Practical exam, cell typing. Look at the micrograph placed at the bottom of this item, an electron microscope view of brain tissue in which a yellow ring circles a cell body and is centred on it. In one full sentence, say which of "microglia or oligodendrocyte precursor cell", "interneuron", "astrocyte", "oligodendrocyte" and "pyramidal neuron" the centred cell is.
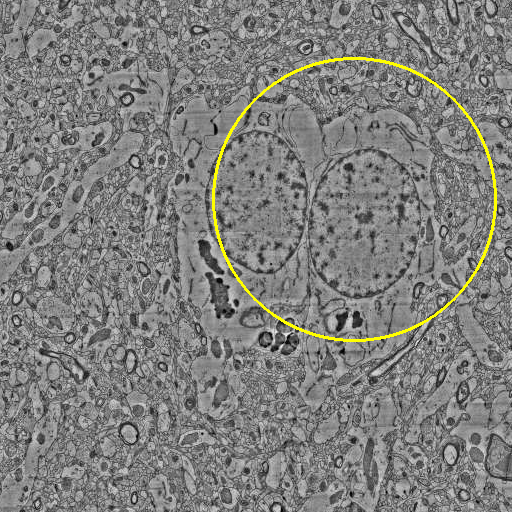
Given the options, an astrocyte fits the cell whose body the yellow ring is centred on.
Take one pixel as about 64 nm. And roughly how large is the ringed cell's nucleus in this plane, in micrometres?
The nucleus is approximately 10 micrometers long by 8 micrometers wide in this plane.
